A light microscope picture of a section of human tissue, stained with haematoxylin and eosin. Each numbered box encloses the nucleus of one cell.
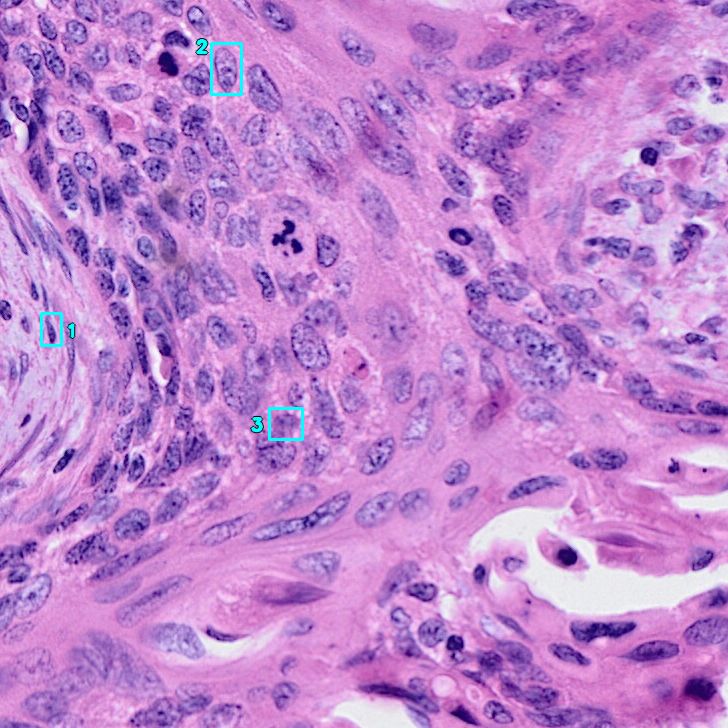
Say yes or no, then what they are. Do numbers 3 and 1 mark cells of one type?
No, cell 3 is a squamous carcinoma cell and cell 1 is a fibroblast.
